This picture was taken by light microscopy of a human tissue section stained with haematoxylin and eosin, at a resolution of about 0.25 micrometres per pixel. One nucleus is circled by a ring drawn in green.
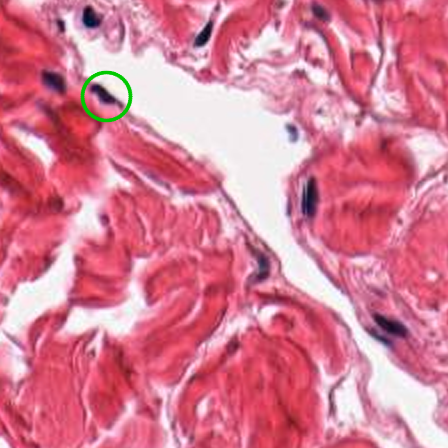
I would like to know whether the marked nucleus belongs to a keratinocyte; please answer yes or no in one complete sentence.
No, the cell bearing the marked nucleus is not a keratinocyte but a supporting cell.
